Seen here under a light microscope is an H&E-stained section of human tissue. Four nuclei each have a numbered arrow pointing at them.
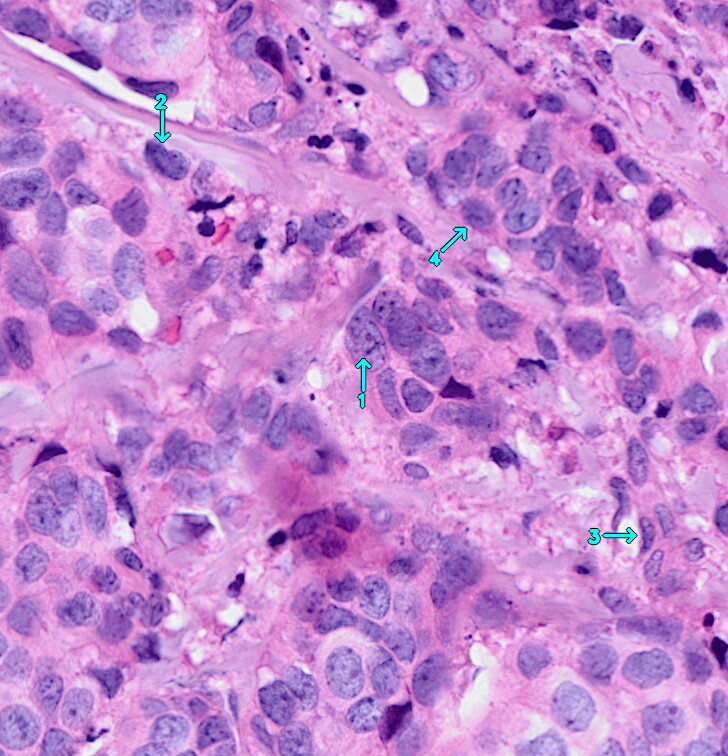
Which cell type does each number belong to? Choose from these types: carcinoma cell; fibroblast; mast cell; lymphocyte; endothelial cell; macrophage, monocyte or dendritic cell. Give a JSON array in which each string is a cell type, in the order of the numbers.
["carcinoma cell", "carcinoma cell", "endothelial cell", "carcinoma cell"]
